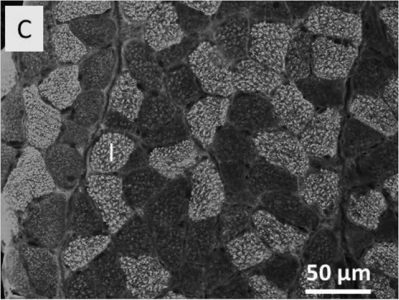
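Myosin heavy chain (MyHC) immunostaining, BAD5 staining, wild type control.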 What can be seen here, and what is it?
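This is a cross section through skeletal muscle, with muscle fibres cut transversely. The fibres are polygonal, tightly packed and separated by thin pale septa of connective tissue. They form a mosaic of two kinds: some fibres are brightly and finely granular, while others are dark and largely unstained. The bright and dark fibres are intermingled fairly evenly rather than grouped. Fibre sizes vary moderately across the field. Nuclei are not distinct at this contrast, and no obvious damage or inflammatory infiltrate is seen.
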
